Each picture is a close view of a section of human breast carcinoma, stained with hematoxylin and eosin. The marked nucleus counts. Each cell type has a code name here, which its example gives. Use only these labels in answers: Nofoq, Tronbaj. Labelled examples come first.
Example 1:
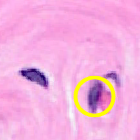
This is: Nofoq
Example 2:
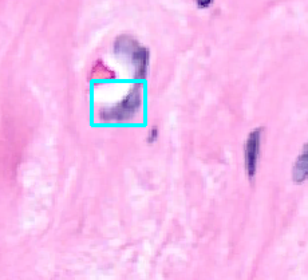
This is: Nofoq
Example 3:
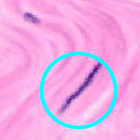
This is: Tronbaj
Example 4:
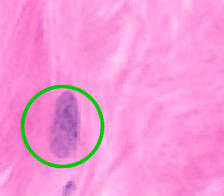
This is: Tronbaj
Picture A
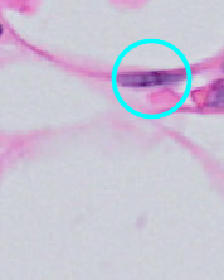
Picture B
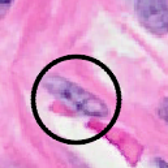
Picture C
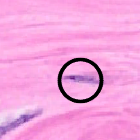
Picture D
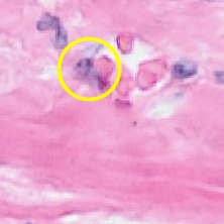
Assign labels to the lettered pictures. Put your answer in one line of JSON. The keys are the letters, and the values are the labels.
{"A": "Nofoq", "B": "Nofoq", "C": "Tronbaj", "D": "Nofoq"}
